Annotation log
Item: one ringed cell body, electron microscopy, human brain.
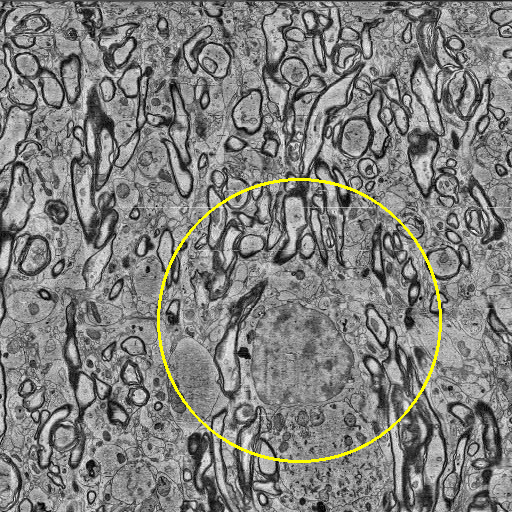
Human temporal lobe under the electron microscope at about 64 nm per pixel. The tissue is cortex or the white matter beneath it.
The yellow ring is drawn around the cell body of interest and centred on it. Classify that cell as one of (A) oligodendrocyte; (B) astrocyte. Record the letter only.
A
